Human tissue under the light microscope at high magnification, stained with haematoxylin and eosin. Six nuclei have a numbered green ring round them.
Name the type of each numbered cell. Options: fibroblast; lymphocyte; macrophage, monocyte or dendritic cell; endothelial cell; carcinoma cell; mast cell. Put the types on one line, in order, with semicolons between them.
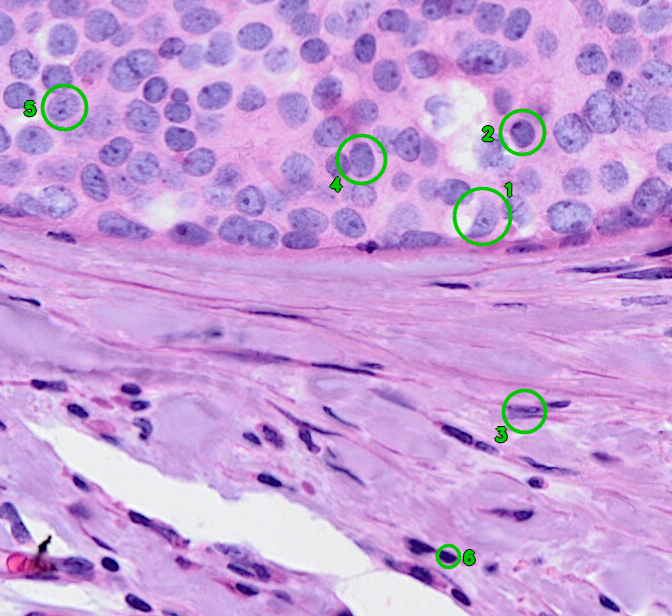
carcinoma cell; carcinoma cell; fibroblast; carcinoma cell; carcinoma cell; lymphocyte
